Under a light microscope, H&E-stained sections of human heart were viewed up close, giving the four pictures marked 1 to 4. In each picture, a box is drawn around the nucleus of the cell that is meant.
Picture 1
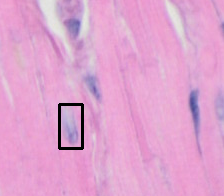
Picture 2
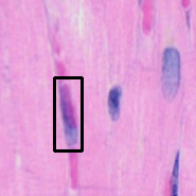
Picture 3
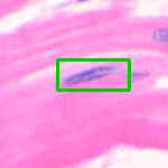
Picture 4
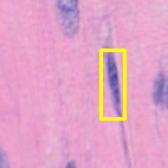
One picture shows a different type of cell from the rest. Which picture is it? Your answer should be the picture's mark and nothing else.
1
